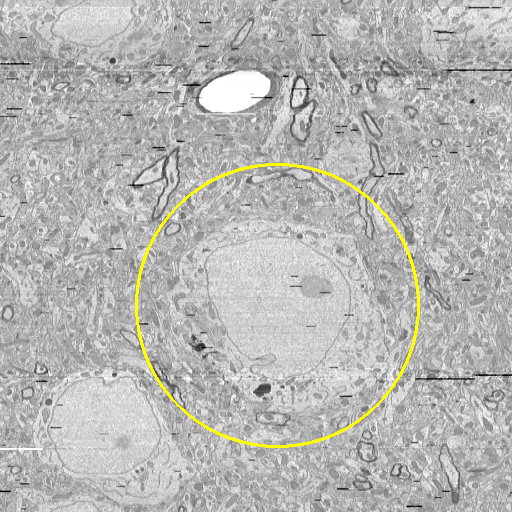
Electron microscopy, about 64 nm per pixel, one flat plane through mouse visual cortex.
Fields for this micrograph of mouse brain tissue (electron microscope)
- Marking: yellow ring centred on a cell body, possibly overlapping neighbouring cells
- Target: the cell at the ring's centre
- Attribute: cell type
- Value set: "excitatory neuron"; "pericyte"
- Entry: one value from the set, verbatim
excitatory neuron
